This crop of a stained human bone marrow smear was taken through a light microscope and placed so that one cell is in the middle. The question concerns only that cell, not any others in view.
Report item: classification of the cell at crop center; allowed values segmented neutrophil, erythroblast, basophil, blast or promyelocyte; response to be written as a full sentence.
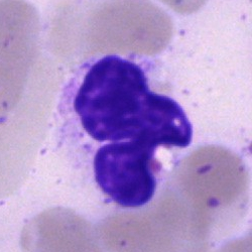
The cell at the heart of this crop is a segmented neutrophil.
